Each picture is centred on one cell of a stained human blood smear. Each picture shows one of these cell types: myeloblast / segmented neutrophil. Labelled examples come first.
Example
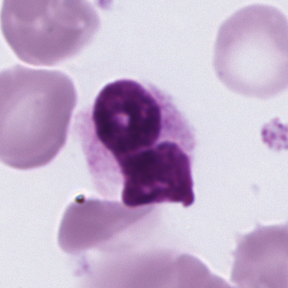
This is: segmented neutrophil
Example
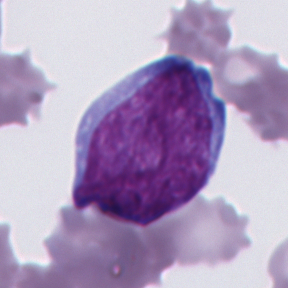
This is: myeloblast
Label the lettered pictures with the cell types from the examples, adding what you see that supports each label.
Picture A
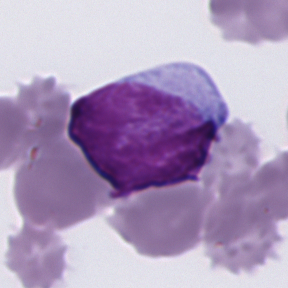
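Label: myeloblast. The nucleus is a single unlobed mass.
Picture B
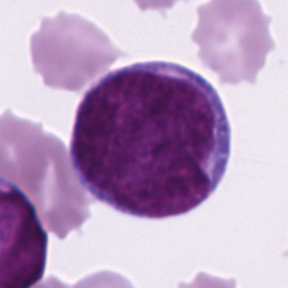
Label: myeloblast. The cytoplasm forms a thin rim that is widest on the right side of the cell.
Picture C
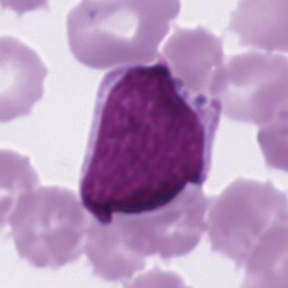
Label: myeloblast. The cytoplasm is a thin, very pale rim around the nucleus.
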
